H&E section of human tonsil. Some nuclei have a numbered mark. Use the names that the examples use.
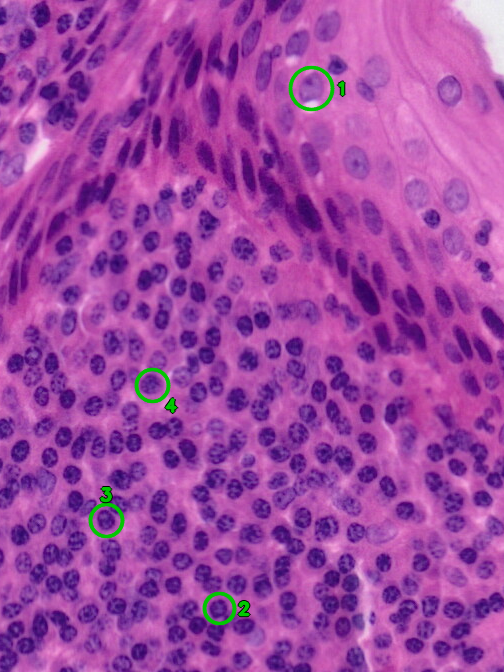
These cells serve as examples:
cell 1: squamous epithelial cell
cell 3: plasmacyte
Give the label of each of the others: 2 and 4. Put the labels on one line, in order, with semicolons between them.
plasmacyte; plasmacyte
